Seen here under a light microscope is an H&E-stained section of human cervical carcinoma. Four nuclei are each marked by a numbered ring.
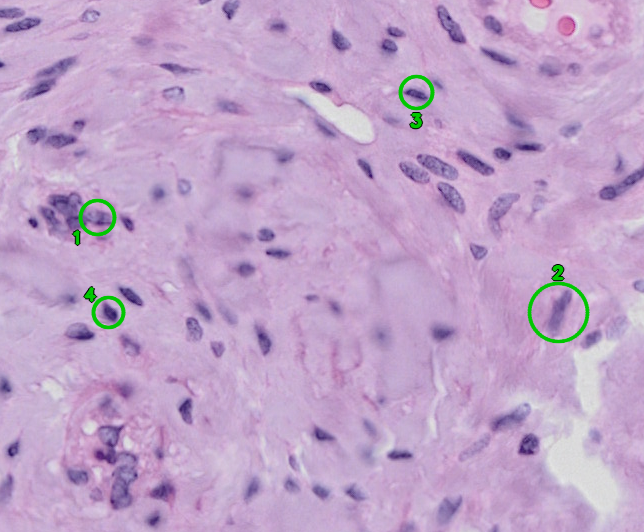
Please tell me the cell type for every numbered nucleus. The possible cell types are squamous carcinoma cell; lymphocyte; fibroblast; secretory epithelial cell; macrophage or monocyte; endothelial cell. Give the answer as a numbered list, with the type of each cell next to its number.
1. endothelial cell
2. fibroblast
3. fibroblast
4. fibroblast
